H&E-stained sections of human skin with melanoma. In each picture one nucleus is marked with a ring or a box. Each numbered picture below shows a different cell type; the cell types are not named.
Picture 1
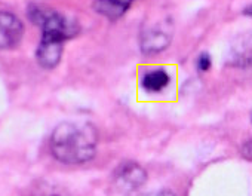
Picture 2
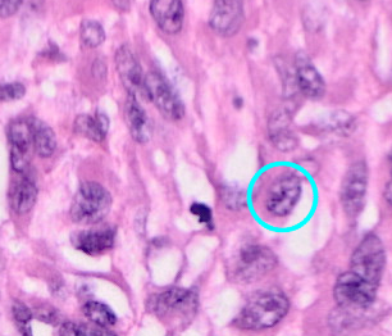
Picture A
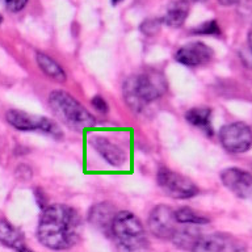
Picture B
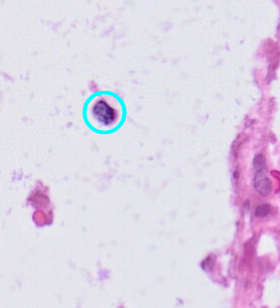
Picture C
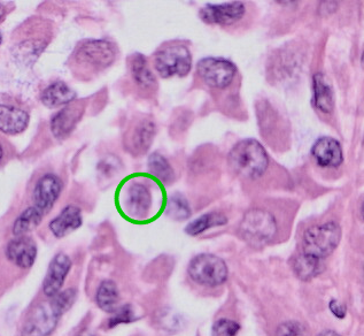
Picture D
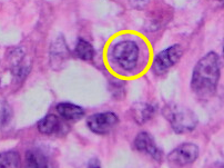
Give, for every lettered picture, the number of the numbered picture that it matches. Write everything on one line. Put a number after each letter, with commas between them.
A 2, B 1, C 2, D 2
